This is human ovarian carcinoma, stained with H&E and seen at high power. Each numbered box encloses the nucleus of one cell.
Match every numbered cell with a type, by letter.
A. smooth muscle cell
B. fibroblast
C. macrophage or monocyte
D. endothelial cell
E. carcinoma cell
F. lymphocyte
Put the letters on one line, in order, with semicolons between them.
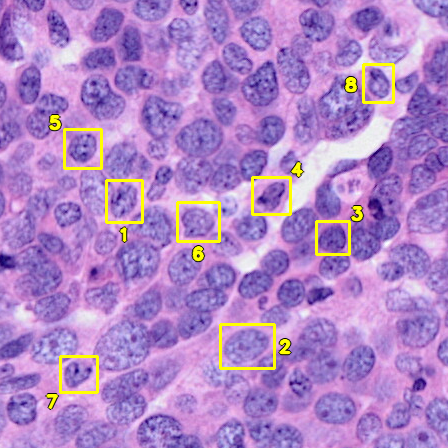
C; E; E; C; C; E; C; C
